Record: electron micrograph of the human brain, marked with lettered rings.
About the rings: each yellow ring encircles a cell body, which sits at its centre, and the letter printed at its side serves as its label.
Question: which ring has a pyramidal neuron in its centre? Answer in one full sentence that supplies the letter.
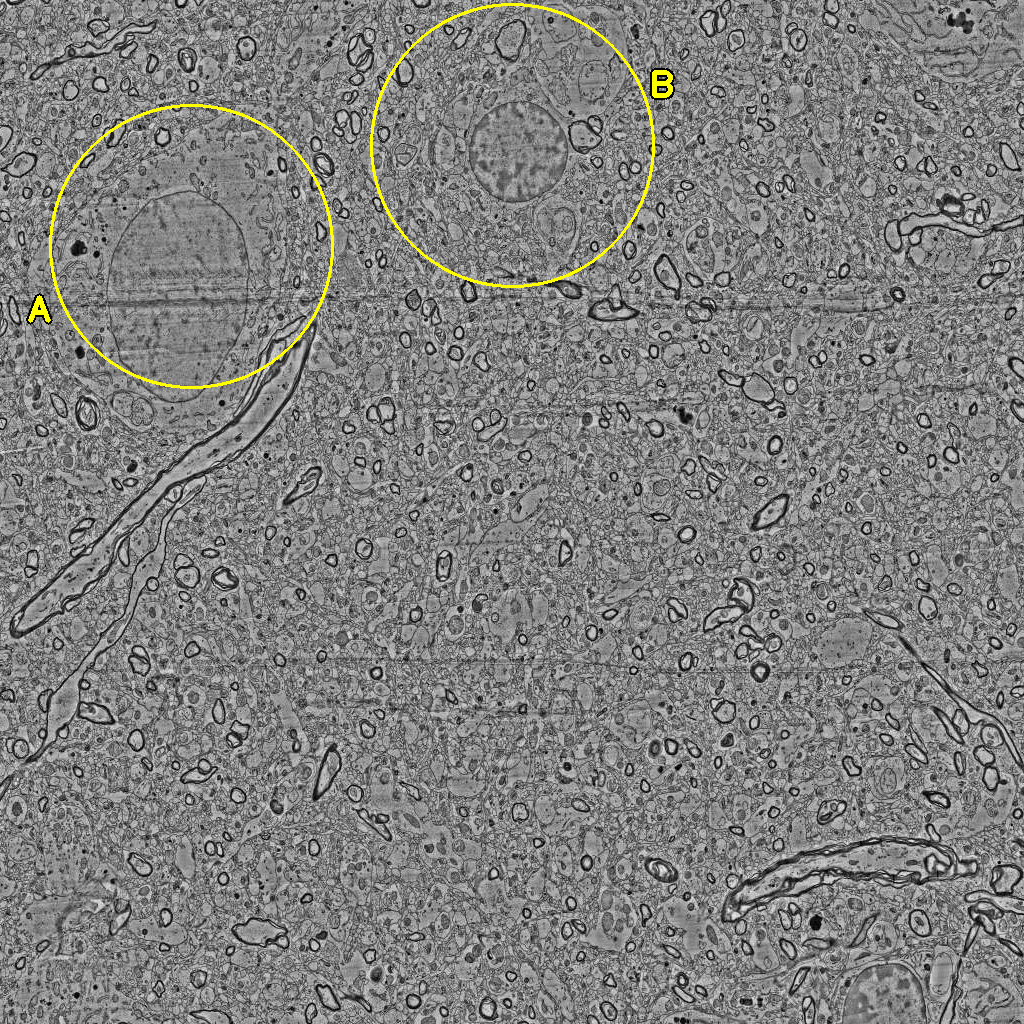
Within the picture, a cell of that kind is centred inside the ring marked A.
